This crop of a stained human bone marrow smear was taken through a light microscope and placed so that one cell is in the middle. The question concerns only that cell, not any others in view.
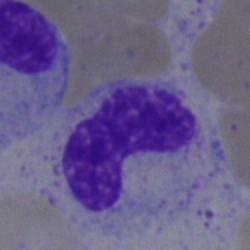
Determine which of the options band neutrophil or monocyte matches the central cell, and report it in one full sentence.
In this smear crop, the middle cell is a band neutrophil.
